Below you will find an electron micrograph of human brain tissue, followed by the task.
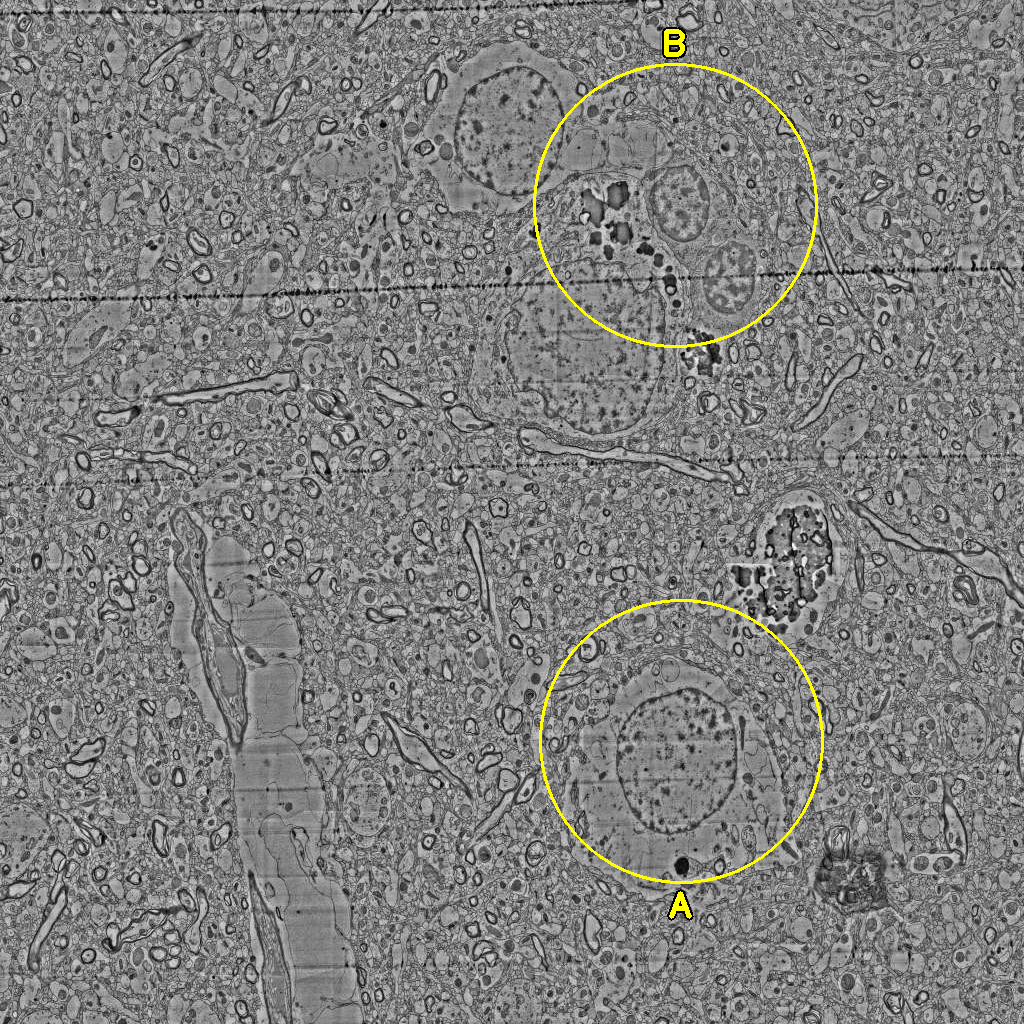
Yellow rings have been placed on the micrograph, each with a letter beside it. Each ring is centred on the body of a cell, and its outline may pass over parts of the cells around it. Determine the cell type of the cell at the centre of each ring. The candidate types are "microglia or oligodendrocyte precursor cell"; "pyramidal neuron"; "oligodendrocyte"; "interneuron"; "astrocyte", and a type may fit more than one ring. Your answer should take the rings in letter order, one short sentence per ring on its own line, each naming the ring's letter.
The centre of ring A falls on an astrocyte.
The centre of ring B falls on an oligodendrocyte.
